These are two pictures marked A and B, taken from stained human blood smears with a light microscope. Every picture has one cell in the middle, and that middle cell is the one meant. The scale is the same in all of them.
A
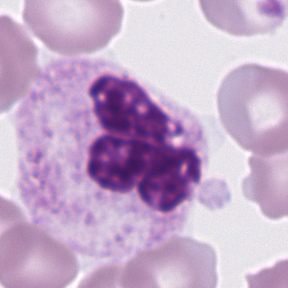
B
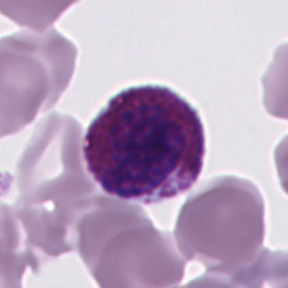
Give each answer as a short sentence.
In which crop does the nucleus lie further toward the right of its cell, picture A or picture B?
It is the nucleus in picture A that lies further toward the right of its cell.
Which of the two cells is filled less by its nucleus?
The nucleus fills less of the cell in picture A than in picture B.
